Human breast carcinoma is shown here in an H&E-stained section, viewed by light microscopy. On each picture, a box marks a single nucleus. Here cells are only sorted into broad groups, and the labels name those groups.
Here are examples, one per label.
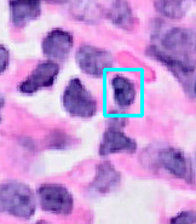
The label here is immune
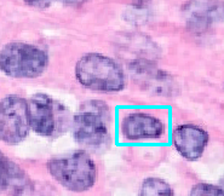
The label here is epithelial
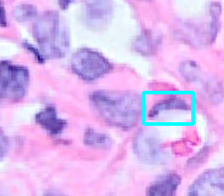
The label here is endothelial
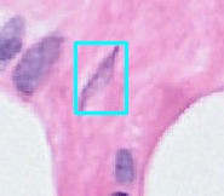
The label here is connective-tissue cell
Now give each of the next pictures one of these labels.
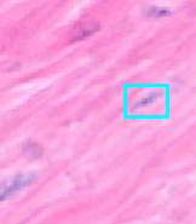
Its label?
connective-tissue cell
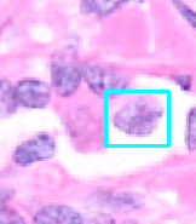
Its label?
epithelial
